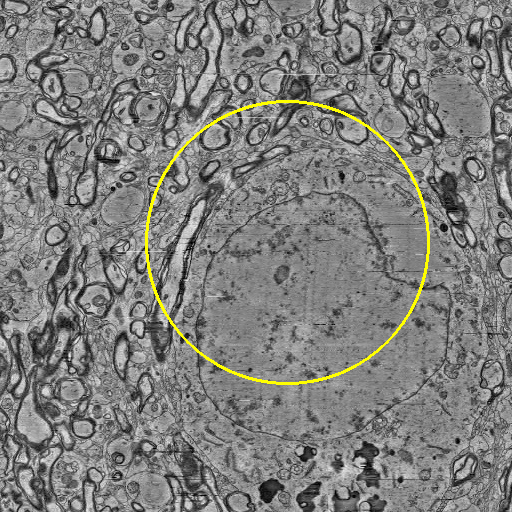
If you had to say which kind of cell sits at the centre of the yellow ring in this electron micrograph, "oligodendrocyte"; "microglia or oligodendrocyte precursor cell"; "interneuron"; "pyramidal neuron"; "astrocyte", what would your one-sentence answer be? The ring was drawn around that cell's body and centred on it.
The cell sitting at the centre of the ring is a pyramidal neuron.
